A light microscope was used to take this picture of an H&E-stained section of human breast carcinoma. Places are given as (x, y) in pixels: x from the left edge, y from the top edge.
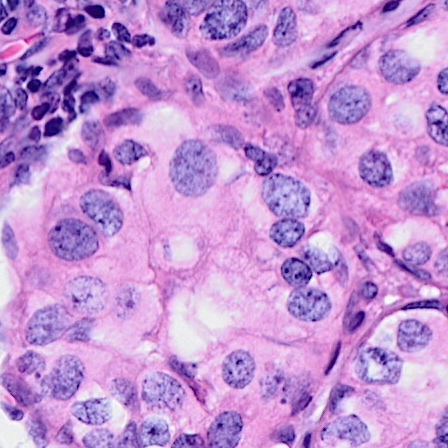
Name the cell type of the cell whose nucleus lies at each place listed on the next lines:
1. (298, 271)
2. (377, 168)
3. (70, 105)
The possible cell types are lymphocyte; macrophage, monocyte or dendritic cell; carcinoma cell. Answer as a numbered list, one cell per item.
1. carcinoma cell
2. carcinoma cell
3. lymphocyte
